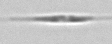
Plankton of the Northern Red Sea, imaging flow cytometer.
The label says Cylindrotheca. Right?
Right.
